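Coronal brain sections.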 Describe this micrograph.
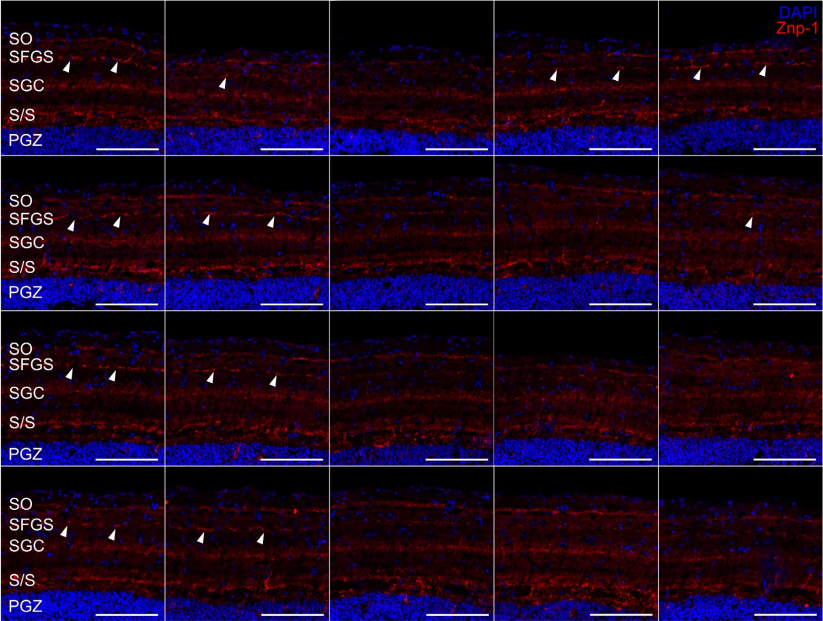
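This is a grid of sections through the fish optic tectum, each showing its layered organisation. At the bottom of every tile lies a thick band of tightly packed blue nuclei, the periventricular gray zone, where the neuronal cell bodies sit. Above it the tissue is sparse in nuclei, with only scattered blue dots, and is crossed by horizontal red bands of fine punctate and thread-like labelling that mark the stacked neuropil layers. Some tiles show these upper bands faint and patchy.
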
